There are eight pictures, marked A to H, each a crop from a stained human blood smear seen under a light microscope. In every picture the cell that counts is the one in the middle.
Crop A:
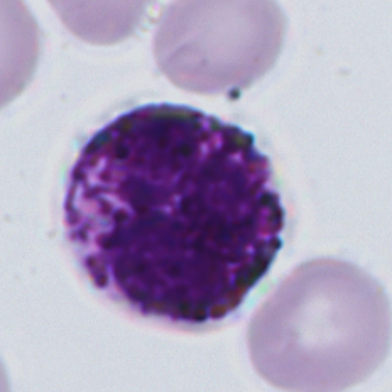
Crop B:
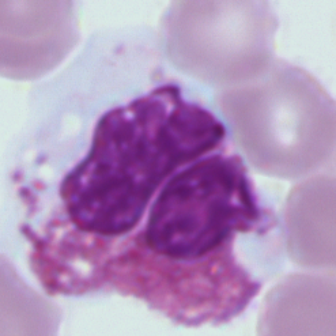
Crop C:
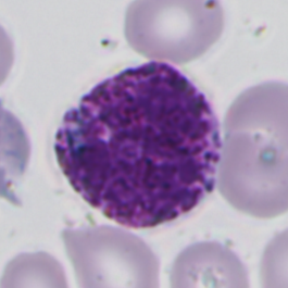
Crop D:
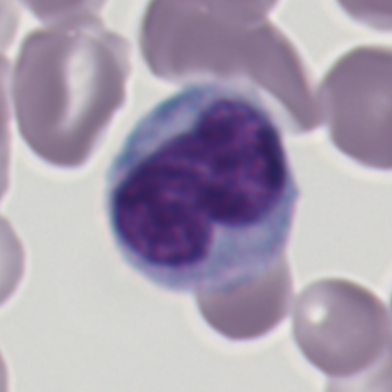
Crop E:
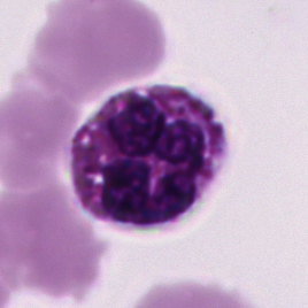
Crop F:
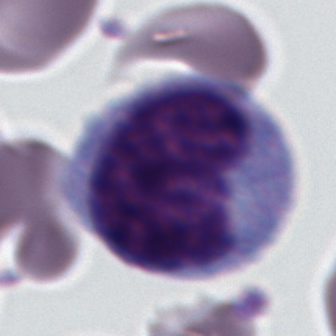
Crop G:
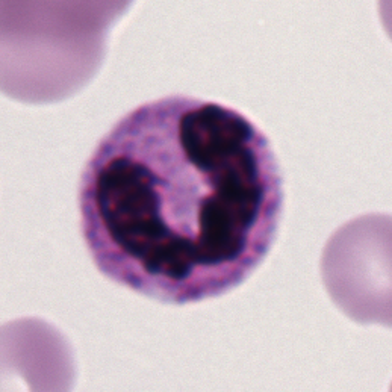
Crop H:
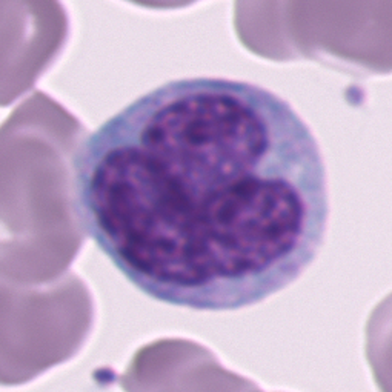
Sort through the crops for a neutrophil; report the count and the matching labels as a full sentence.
Only one crop shows a neutrophil, and that is crop G.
